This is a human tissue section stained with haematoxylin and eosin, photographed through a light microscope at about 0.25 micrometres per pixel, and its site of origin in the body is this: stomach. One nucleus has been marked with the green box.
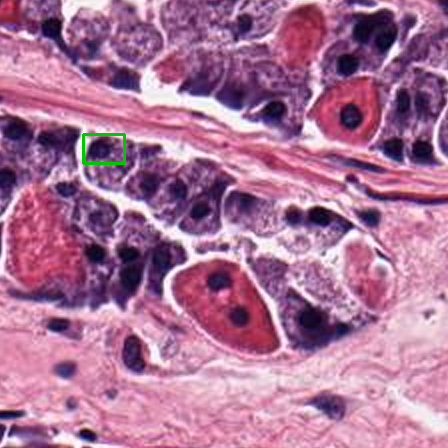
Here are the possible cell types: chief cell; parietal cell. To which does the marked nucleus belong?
chief cell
